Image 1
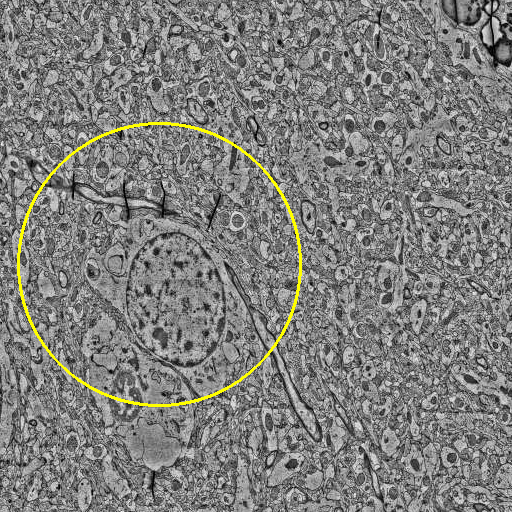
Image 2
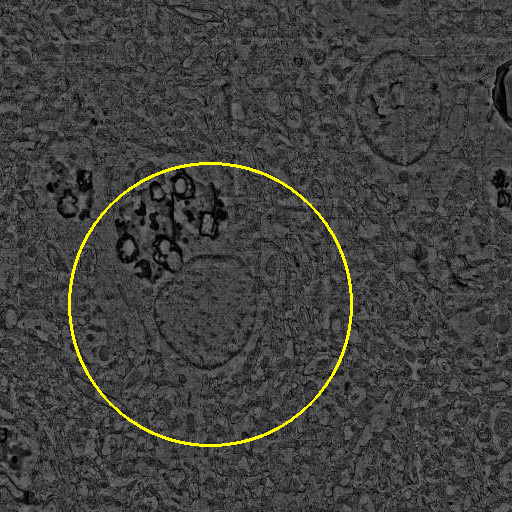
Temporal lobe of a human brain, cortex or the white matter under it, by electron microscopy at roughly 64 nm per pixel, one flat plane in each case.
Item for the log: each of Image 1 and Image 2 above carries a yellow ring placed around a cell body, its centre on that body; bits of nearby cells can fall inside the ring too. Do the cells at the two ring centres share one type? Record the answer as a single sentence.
Yes, the two cells at the ring centres in Image 1 and Image 2 share one type.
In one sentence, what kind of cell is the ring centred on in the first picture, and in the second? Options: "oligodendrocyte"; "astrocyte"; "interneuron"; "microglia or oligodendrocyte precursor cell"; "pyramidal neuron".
Each of the ringed cells, first and second, is an astrocyte.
